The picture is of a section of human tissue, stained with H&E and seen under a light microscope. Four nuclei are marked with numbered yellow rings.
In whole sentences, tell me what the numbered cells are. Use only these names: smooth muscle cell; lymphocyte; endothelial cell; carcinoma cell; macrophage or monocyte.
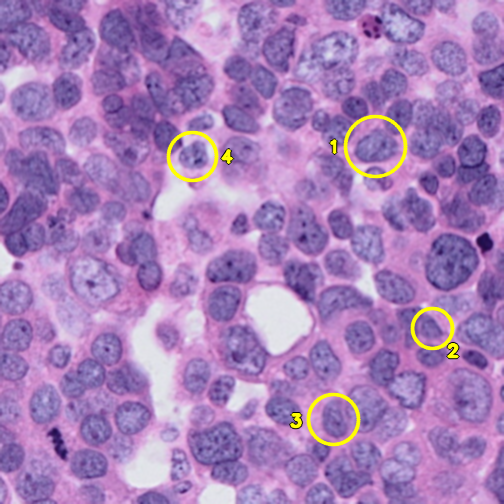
Cell 1 is a carcinoma cell, cell 2 is a carcinoma cell, cell 3 is a carcinoma cell and cell 4 is a macrophage or monocyte.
